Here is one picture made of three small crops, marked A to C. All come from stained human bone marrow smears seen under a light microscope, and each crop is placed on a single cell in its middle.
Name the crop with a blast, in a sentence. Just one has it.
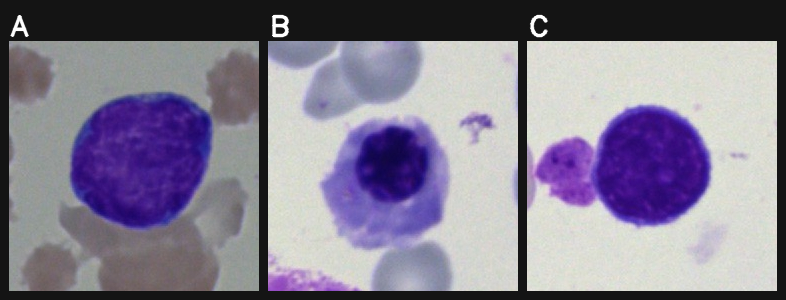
On review of the set, crop A is the one showing a blast.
